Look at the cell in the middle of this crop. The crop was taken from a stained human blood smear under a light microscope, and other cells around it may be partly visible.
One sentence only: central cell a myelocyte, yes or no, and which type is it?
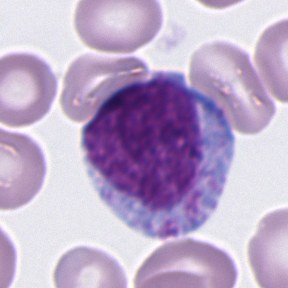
Yes, the cell that lies centrally is a myelocyte.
